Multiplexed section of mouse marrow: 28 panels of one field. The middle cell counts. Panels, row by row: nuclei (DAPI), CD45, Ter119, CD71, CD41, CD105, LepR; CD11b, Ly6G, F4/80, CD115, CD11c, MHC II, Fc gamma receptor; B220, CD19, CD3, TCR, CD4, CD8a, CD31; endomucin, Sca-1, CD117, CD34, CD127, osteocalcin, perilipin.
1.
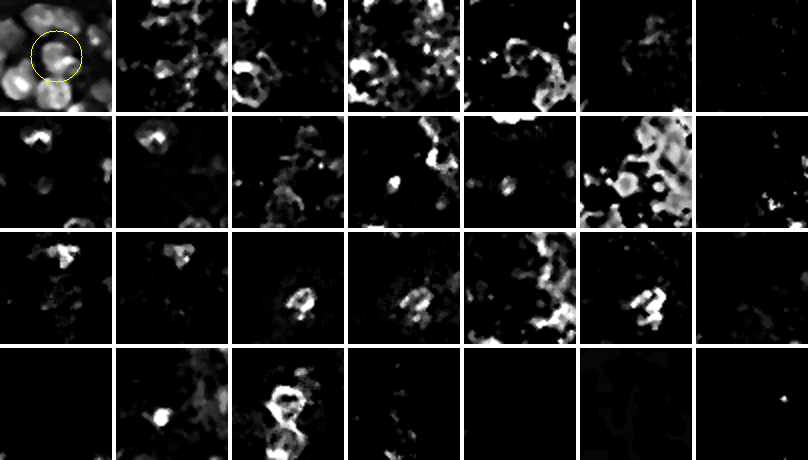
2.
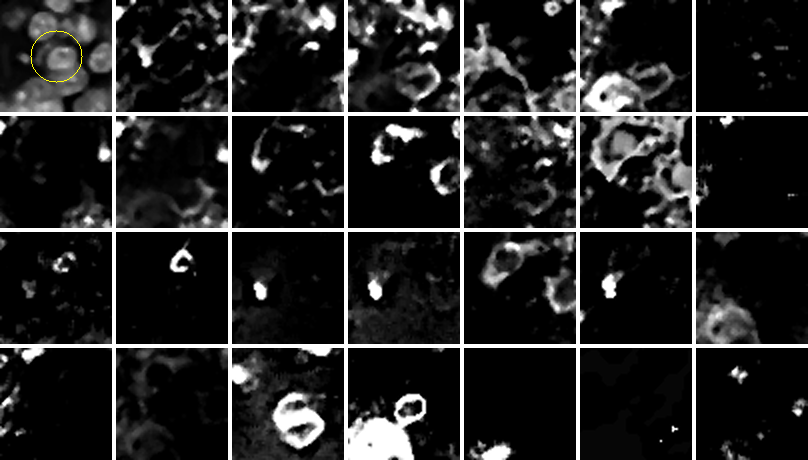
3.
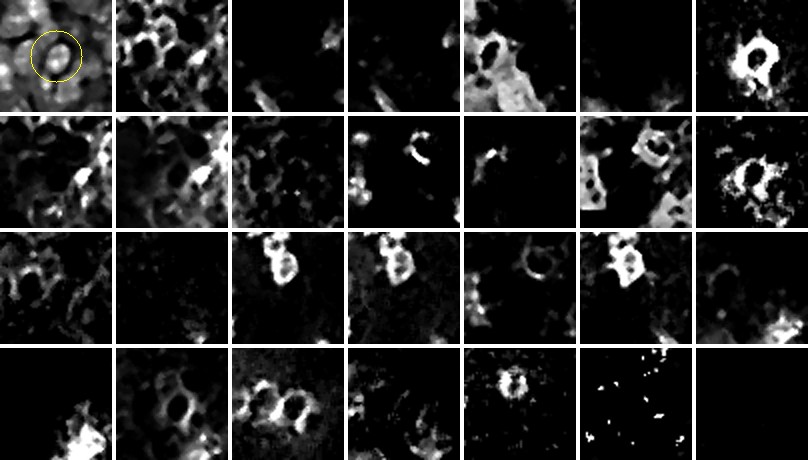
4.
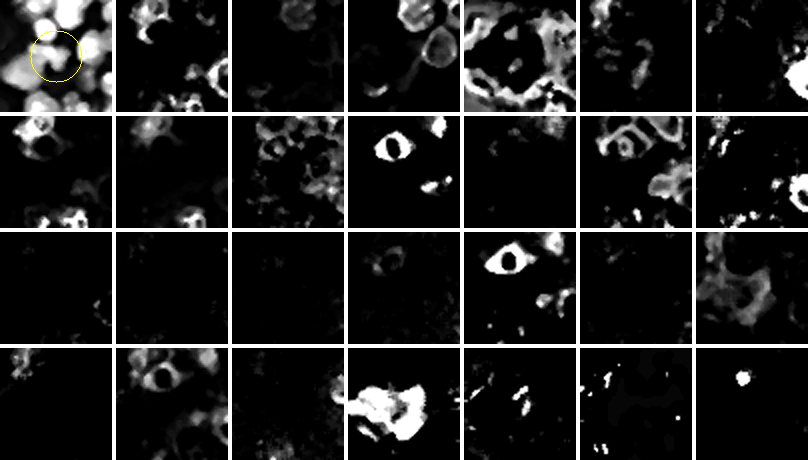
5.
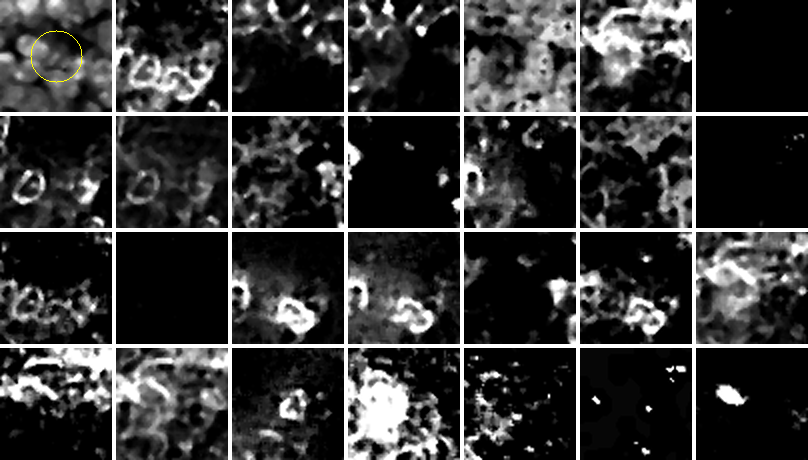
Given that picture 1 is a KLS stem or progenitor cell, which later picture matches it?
5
